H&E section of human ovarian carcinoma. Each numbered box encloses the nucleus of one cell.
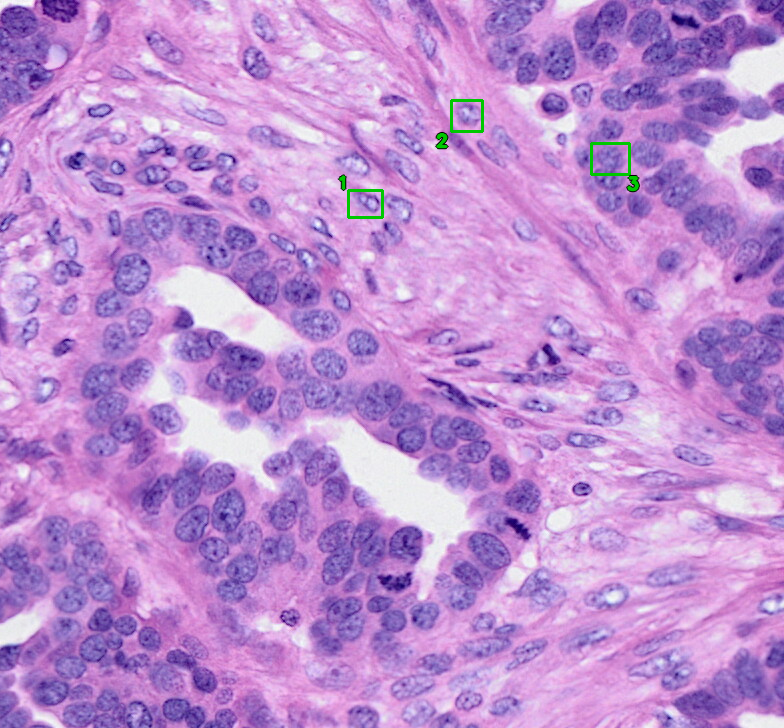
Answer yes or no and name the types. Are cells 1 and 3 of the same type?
No, that does not hold; cell 1 is a fibroblast and cell 3 is a carcinoma cell.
